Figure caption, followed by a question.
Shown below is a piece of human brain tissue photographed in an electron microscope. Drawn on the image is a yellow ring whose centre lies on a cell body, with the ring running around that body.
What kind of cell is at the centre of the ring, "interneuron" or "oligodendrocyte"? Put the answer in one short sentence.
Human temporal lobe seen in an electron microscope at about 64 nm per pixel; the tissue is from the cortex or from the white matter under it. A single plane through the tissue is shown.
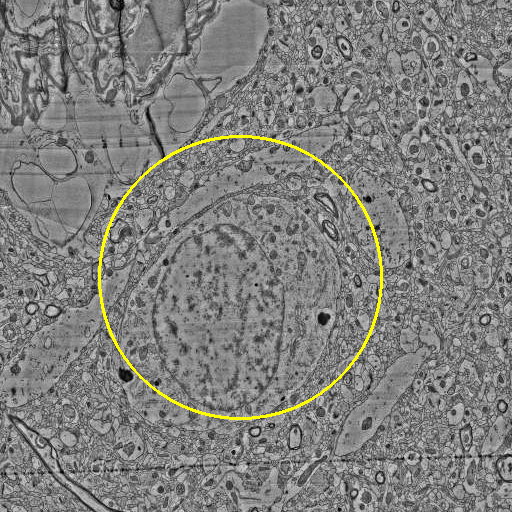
The ring marks the cell body of an interneuron.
